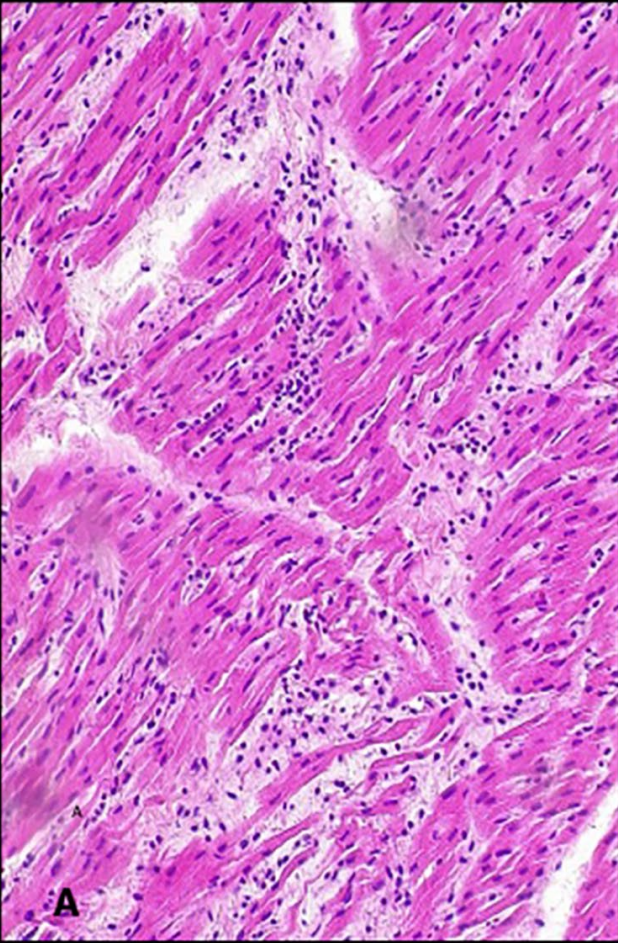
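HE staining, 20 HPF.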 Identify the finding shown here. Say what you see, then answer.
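Pink striated muscle fibres with central oval nuclei run in bundles. Small round dark nuclei cluster in the spaces between the muscle fibres. The spaces between fibres are widened and pale.
Conclusion: Lymphocytic myocarditis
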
